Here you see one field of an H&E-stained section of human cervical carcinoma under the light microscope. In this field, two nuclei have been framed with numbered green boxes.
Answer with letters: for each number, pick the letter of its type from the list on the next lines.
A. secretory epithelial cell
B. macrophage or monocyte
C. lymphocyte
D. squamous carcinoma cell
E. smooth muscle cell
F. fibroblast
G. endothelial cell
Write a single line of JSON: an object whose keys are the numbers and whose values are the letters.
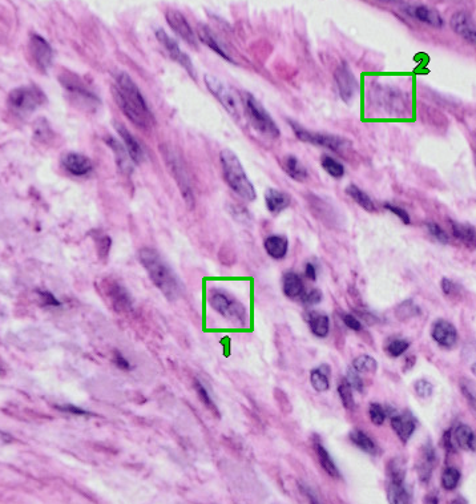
{"1": "B", "2": "F"}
